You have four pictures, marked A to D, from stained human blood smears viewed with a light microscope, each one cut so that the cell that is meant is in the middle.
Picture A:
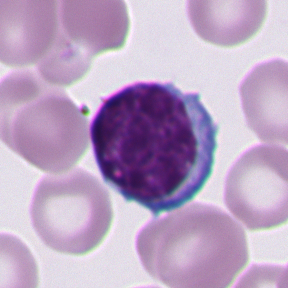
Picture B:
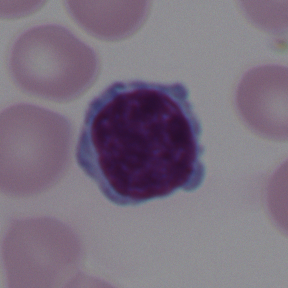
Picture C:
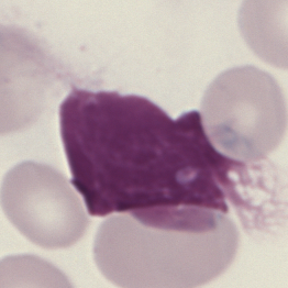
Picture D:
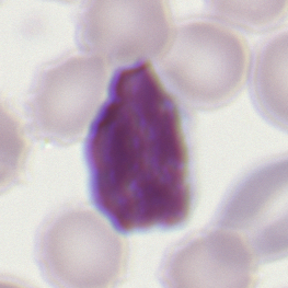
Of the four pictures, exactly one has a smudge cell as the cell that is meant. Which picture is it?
C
